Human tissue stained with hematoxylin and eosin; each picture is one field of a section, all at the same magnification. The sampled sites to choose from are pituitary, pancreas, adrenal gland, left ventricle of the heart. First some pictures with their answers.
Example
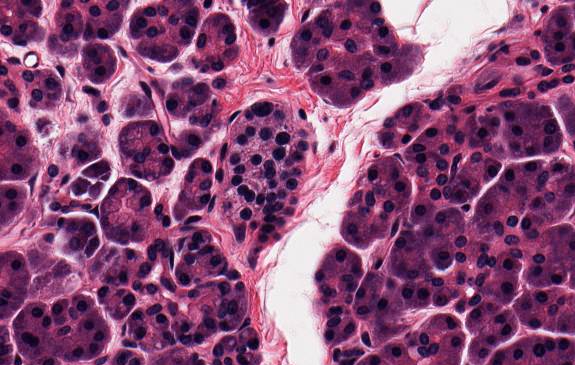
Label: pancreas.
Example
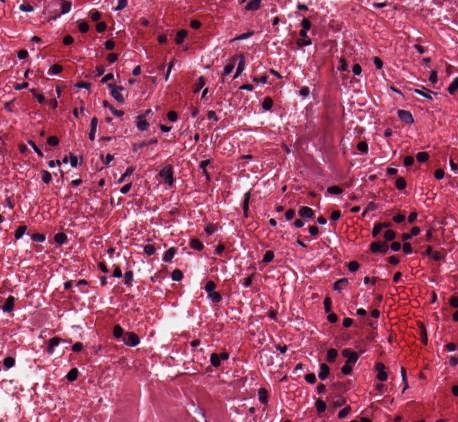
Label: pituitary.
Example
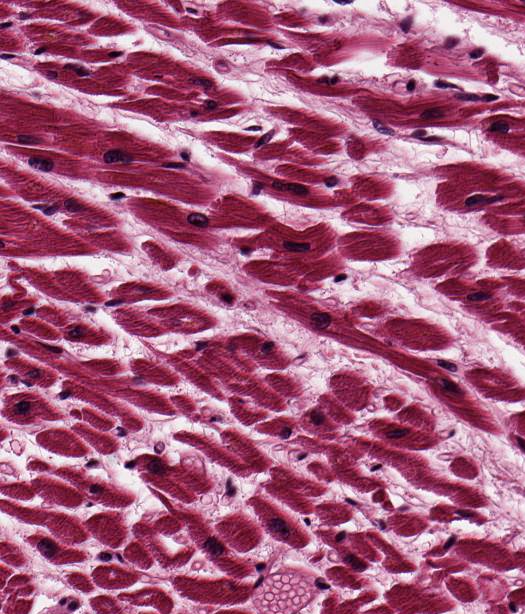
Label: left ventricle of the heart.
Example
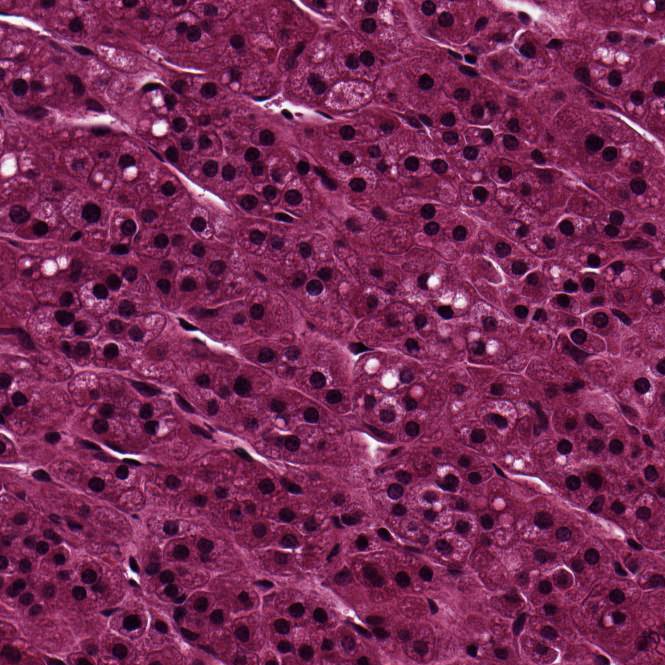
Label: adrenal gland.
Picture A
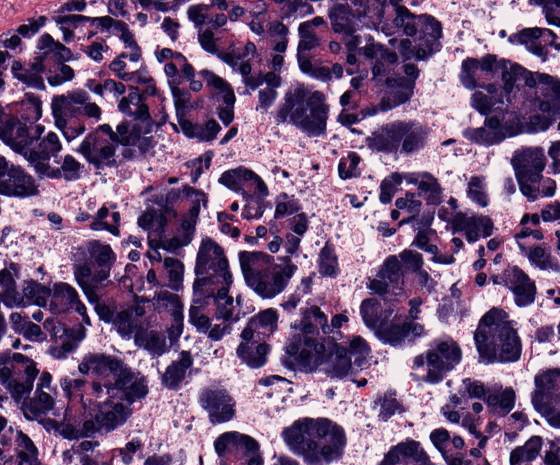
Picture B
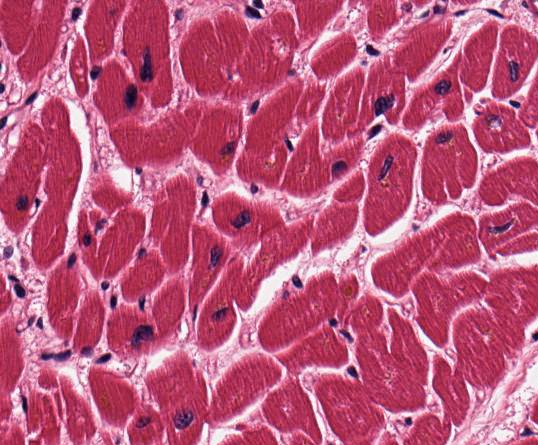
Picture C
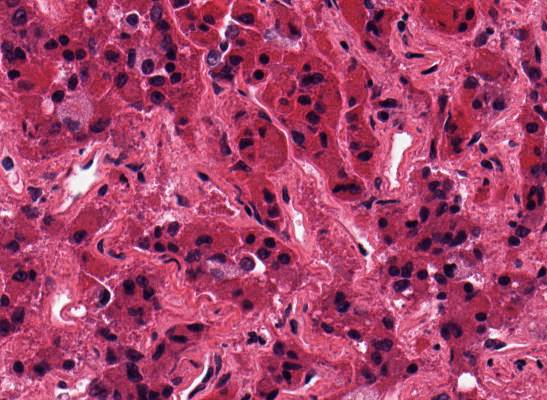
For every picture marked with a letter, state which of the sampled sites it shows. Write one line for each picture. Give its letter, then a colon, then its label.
A: pancreas.
B: left ventricle of the heart.
C: pituitary.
